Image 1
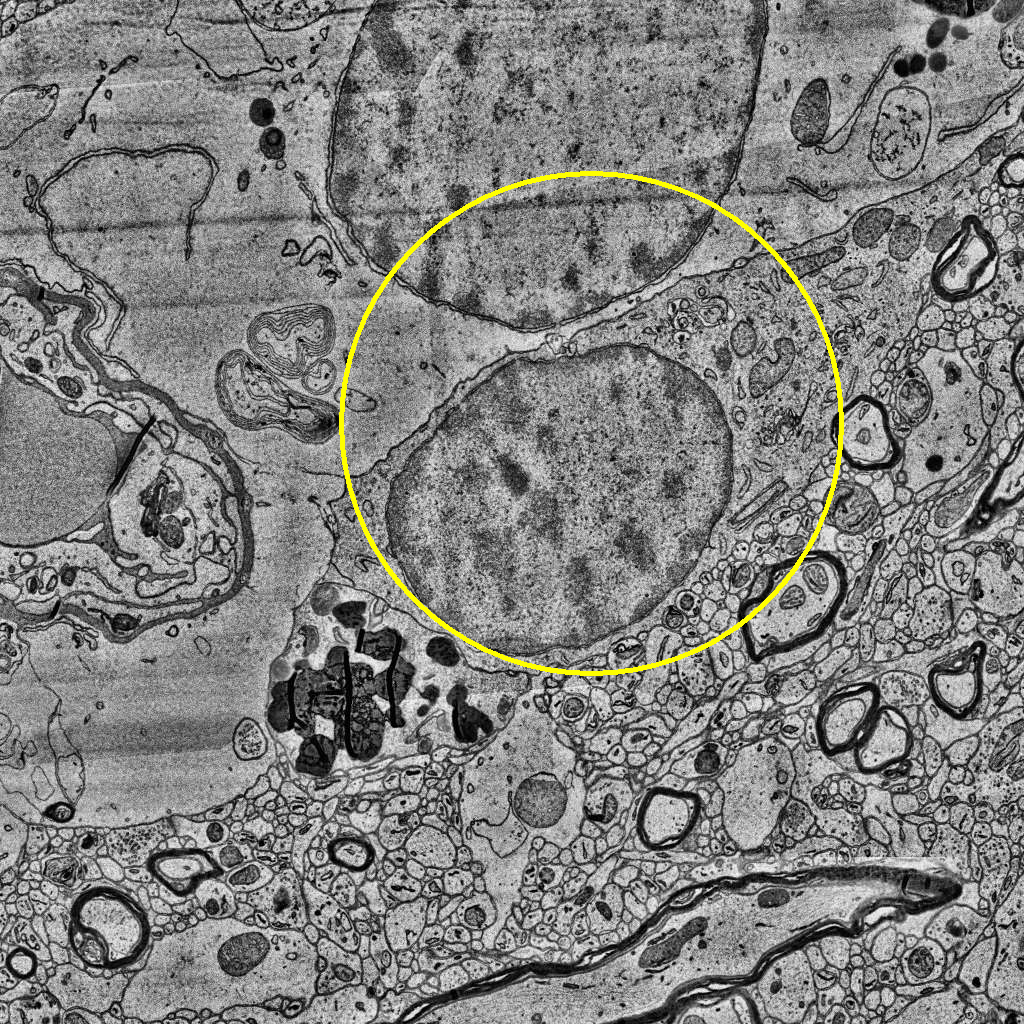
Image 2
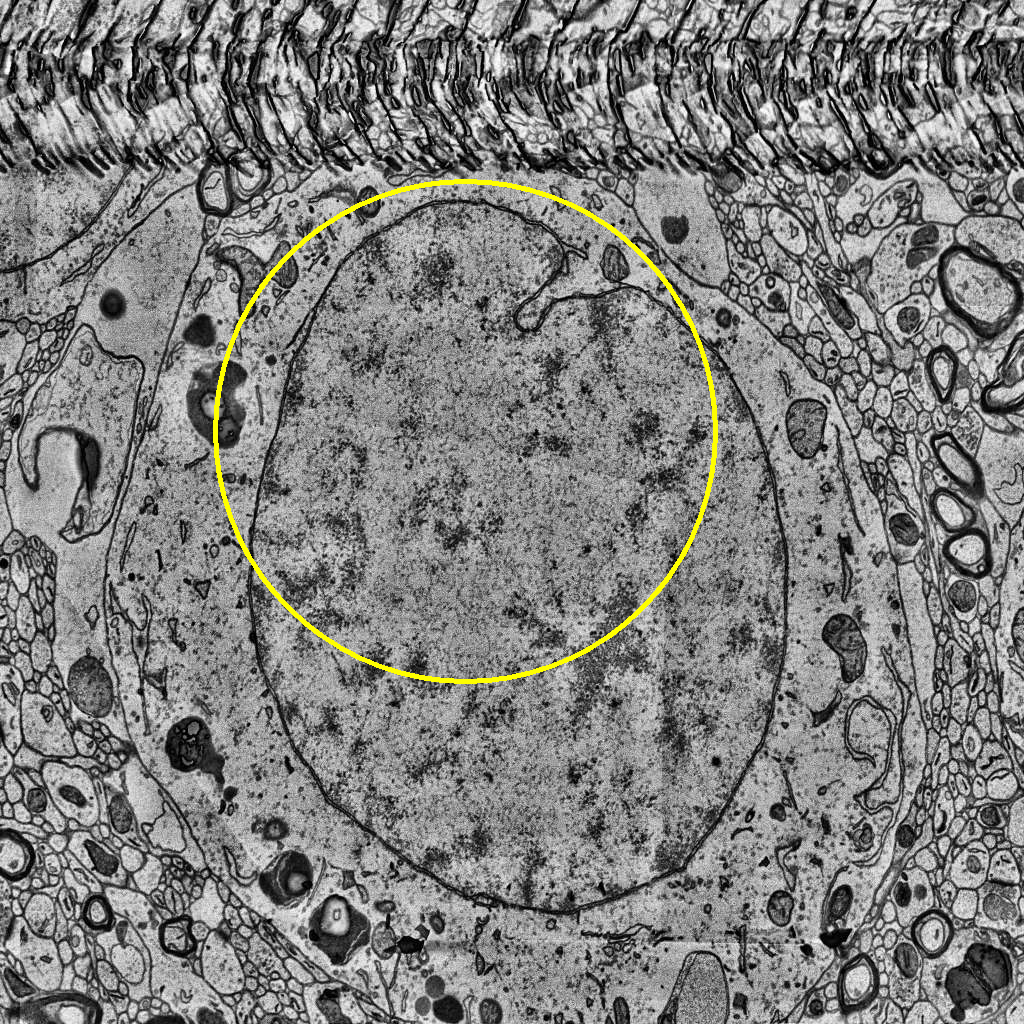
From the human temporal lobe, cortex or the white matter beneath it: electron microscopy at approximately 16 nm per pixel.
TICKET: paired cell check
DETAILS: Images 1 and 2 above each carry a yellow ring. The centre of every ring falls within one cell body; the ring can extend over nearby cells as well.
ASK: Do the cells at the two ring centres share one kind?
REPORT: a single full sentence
No, the cells at the ring centres of Images 1 and 2 belong to two kinds.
